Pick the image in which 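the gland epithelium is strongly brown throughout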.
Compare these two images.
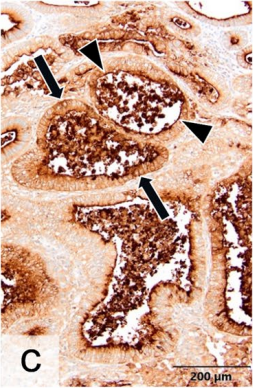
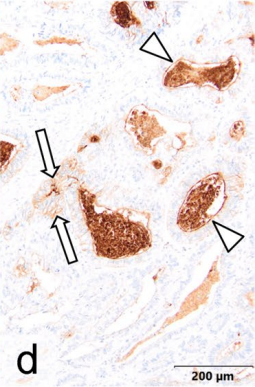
The first image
